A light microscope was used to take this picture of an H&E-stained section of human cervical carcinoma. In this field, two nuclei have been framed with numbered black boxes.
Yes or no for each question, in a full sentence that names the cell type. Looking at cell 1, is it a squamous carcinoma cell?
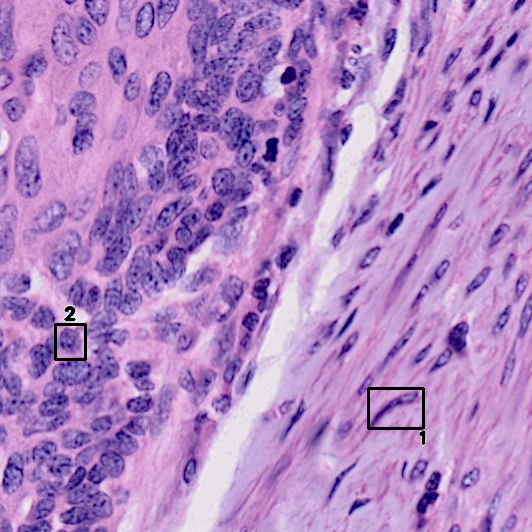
No, the marked cell 1 is not a squamous carcinoma cell, being instead a smooth muscle cell.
